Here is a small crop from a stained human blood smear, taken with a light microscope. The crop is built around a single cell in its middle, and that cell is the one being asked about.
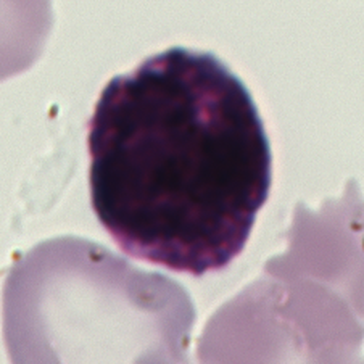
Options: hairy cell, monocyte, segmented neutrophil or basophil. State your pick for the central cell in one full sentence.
Among the cells in view, the one in the middle is a basophil.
